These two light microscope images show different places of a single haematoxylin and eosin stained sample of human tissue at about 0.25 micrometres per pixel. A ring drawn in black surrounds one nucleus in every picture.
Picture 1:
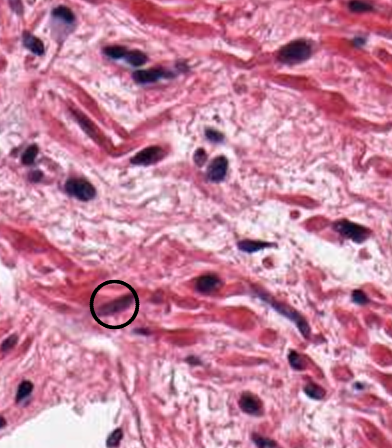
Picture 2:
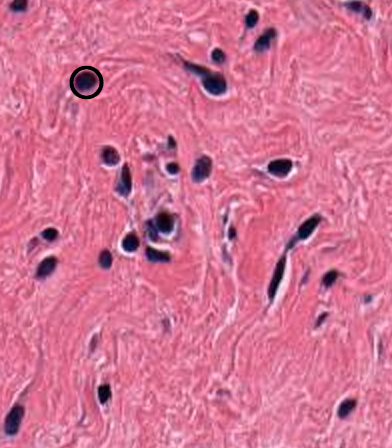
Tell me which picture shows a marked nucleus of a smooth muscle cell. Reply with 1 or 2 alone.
1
